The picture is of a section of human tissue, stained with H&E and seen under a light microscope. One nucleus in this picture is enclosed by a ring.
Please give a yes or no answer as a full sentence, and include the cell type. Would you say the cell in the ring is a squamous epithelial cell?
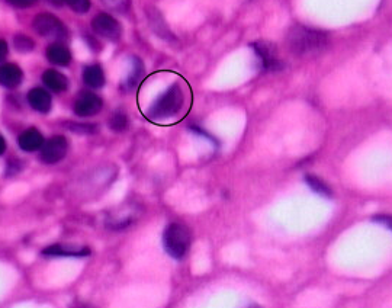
Yes, a squamous epithelial cell is the identity of the cell in the ring in this section.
